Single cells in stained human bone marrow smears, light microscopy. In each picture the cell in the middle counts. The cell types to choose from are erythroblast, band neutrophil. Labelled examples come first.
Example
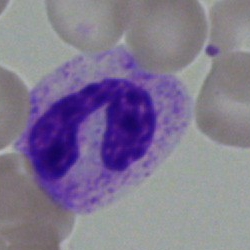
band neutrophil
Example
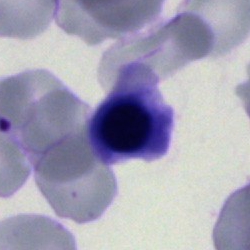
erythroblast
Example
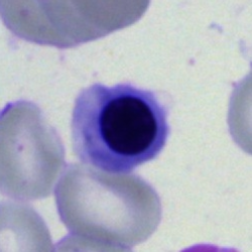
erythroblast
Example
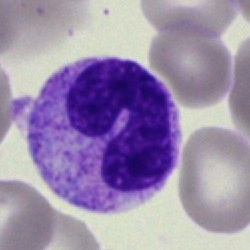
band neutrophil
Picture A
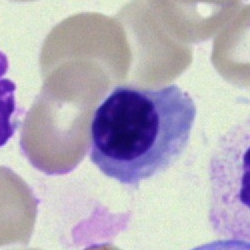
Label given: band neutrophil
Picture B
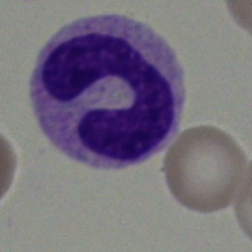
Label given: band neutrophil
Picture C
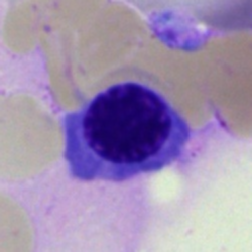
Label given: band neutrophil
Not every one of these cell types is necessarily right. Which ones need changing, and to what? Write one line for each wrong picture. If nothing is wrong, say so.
Wrong: A (band neutrophil); correct: erythroblast
Wrong: C (band neutrophil); correct: erythroblast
